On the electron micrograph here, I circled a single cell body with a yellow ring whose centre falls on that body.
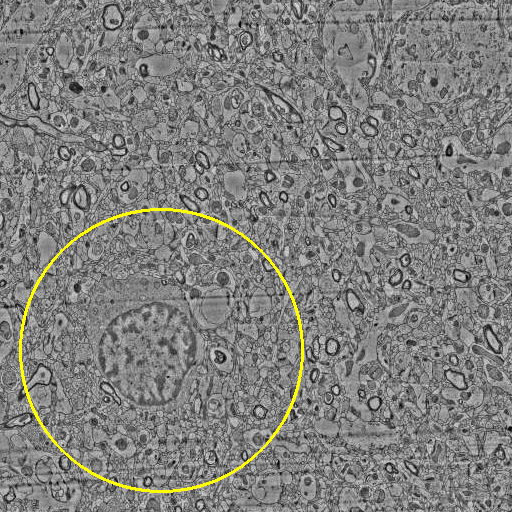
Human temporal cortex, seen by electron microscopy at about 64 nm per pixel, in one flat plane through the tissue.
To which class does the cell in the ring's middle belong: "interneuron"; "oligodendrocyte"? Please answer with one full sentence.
In this picture, the cell body circled at the ring's centre belongs to an oligodendrocyte.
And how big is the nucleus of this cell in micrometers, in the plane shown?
The nucleus comes to roughly 6 micrometres across in this plane.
